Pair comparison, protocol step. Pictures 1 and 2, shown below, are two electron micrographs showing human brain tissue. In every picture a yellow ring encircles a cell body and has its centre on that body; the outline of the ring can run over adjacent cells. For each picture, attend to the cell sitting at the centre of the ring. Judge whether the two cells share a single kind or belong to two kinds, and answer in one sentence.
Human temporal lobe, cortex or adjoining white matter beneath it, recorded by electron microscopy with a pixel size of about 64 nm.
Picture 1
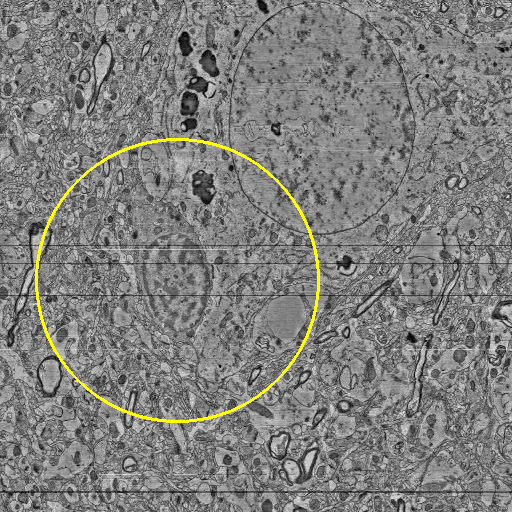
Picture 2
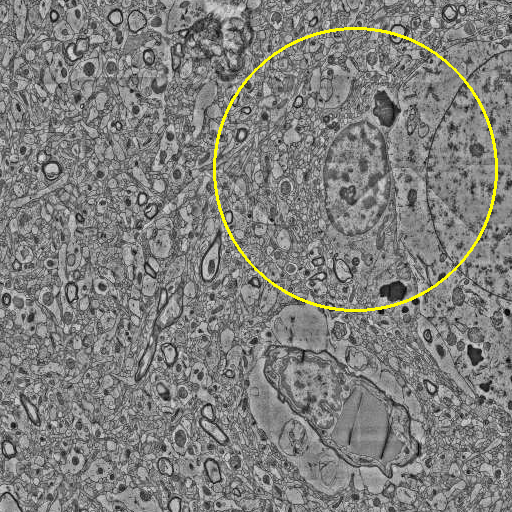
The two cells at the ring centres in Picture 1 and Picture 2 share a single kind.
